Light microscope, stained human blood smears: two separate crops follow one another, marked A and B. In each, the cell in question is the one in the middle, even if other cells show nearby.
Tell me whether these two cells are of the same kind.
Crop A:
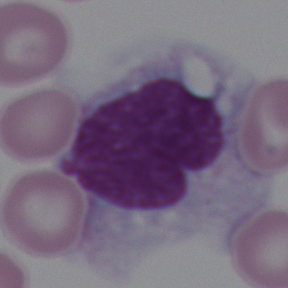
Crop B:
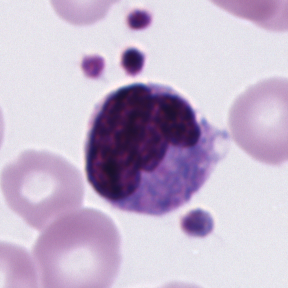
yes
